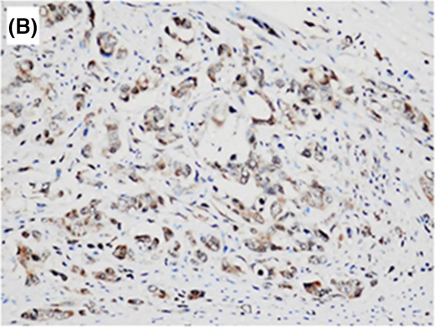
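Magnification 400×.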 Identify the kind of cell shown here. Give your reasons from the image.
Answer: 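Irregular small clusters and cords of atypical epithelial cells infiltrate fibrous stroma. Cells have enlarged, irregular nuclei and brown cytoplasm. The answer: tumour cells.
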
